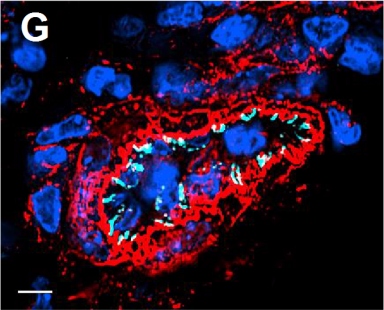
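The vessel is oval and its interior is crowded with blue nuclei. Outside the lining lies a thick red meshwork made of several wavy, folded layers that encircle the vessel. Scattered blue nuclei of surrounding cells lie outside the red layers, especially along the top.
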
